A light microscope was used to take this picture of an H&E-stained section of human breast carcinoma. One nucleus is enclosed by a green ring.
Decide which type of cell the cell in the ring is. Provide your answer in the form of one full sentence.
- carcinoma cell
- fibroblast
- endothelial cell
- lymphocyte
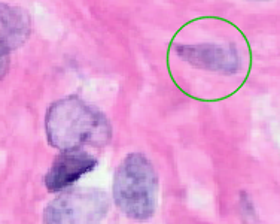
For cell typing purposes, the cell in the ring is a fibroblast.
